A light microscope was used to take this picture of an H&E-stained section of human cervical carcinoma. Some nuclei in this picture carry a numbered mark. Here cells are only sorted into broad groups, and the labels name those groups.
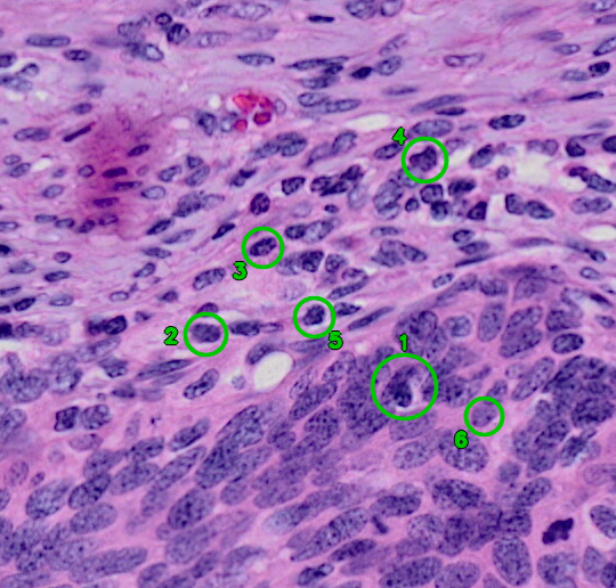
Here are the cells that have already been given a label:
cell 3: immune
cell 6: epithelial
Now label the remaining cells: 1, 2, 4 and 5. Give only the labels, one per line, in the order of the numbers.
epithelial
immune
immune
immune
